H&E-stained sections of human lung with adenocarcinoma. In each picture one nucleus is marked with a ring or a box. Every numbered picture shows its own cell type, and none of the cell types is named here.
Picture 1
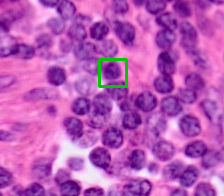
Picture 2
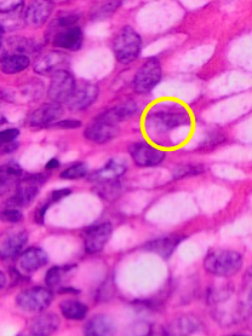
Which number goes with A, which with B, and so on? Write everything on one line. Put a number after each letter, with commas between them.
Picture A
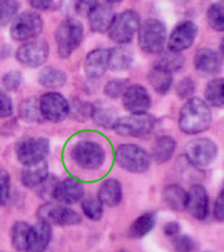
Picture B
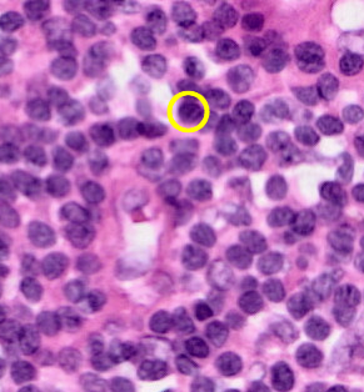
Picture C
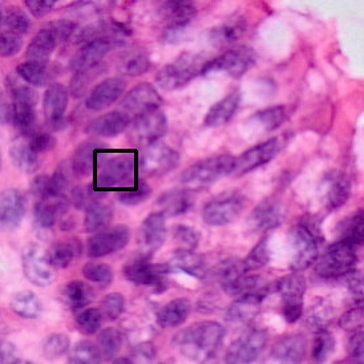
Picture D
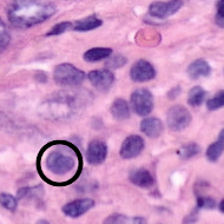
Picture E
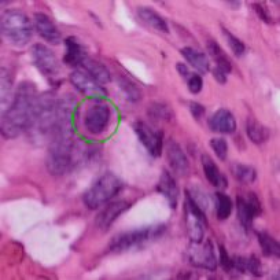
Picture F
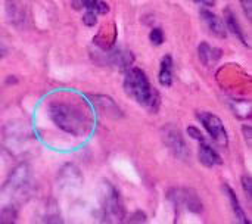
A 1, B 1, C 2, D 1, E 2, F 2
